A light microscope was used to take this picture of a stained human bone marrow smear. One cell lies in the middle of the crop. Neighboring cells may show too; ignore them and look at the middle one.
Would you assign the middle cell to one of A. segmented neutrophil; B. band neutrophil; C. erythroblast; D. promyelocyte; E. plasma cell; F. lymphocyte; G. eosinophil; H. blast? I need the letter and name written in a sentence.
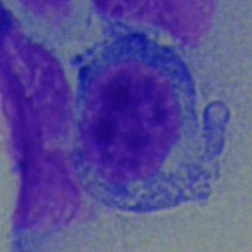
The cell occupying the centre is a lymphocyte; option F is thus the correct choice.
